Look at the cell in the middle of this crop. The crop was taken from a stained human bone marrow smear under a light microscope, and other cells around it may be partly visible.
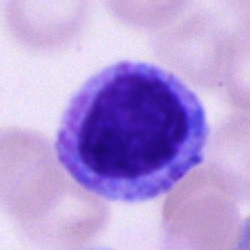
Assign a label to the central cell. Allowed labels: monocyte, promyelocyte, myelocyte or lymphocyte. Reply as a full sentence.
The cell positioned in the middle of the field is a myelocyte.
